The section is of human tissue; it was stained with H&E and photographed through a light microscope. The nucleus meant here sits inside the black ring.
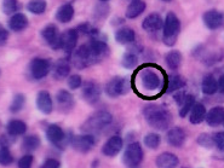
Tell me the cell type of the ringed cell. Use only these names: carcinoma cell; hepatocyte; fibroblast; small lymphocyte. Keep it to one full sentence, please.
Within this tissue, the ringed cell is a small lymphocyte.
